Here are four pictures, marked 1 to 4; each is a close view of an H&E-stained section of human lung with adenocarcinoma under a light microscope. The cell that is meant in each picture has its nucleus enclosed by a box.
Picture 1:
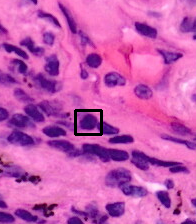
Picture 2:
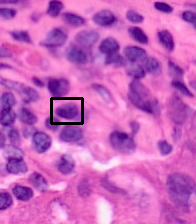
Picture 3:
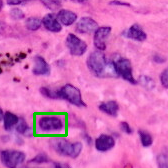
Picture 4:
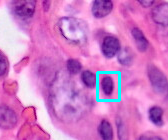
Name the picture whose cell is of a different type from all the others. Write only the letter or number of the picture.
3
